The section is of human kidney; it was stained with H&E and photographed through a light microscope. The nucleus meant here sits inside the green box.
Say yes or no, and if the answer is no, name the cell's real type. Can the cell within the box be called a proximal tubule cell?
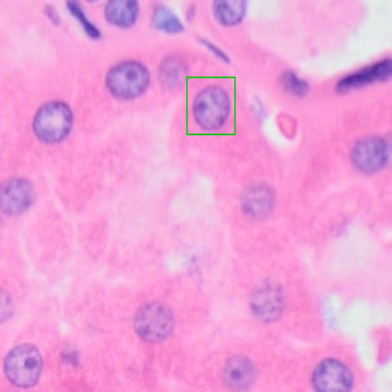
Yes.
